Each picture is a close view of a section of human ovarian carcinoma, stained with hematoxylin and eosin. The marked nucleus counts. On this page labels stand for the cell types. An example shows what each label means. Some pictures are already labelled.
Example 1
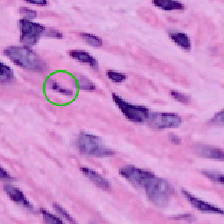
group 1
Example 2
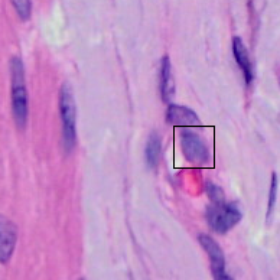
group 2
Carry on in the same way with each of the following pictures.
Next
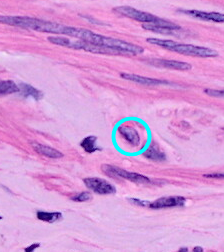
group 2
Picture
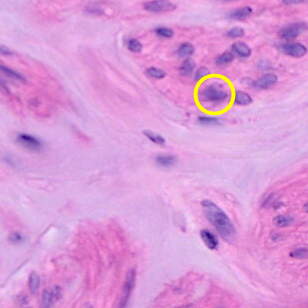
group 1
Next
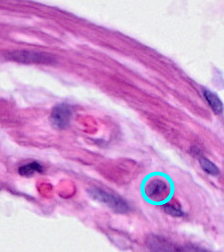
group 2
